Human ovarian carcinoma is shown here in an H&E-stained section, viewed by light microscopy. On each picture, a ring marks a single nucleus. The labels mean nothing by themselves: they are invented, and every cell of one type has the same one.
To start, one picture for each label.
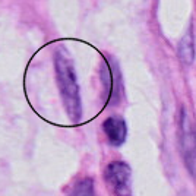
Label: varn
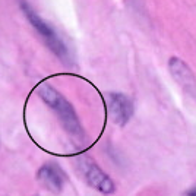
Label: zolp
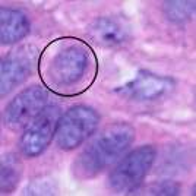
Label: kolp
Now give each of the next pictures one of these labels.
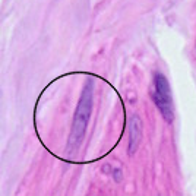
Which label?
zolp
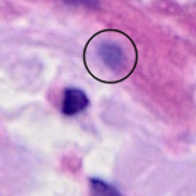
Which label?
zolp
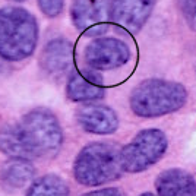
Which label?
kolp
